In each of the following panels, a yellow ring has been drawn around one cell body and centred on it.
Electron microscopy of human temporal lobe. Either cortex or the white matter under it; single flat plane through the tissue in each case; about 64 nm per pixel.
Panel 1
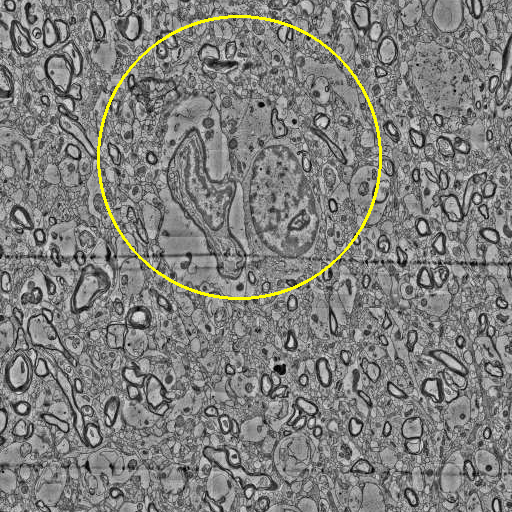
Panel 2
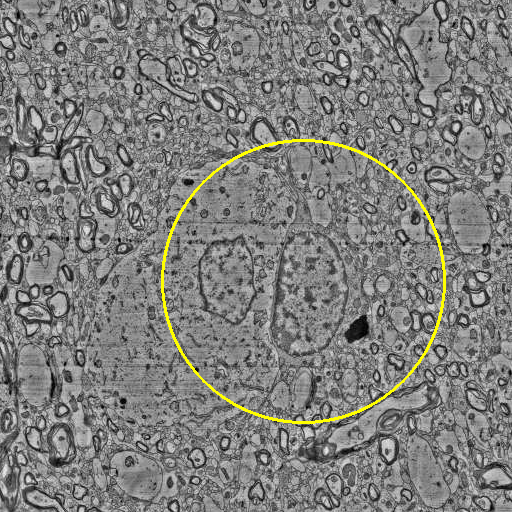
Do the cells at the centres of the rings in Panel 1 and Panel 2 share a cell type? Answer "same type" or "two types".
same type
